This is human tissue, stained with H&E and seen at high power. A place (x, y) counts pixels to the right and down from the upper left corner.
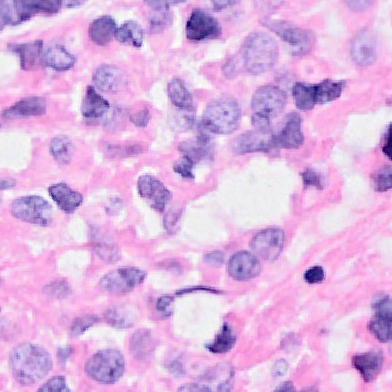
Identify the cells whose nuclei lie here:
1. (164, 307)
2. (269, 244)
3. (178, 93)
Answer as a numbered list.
1. endothelial cell
2. carcinoma cell
3. carcinoma cell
